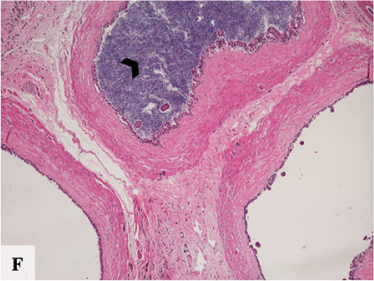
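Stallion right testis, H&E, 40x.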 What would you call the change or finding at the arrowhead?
Sperm stasis.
